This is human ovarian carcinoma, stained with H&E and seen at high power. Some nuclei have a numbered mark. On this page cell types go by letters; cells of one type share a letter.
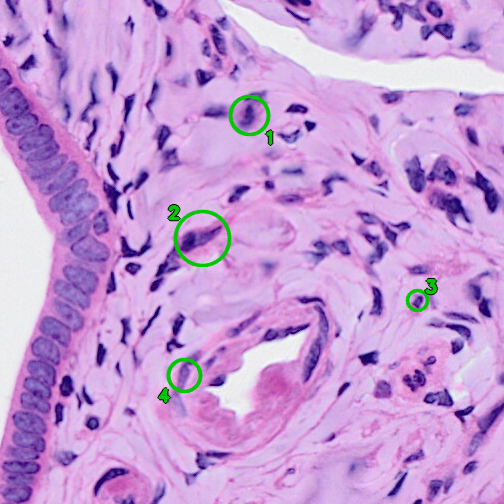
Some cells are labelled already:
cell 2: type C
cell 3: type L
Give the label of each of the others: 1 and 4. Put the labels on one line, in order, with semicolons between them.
type C; type L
